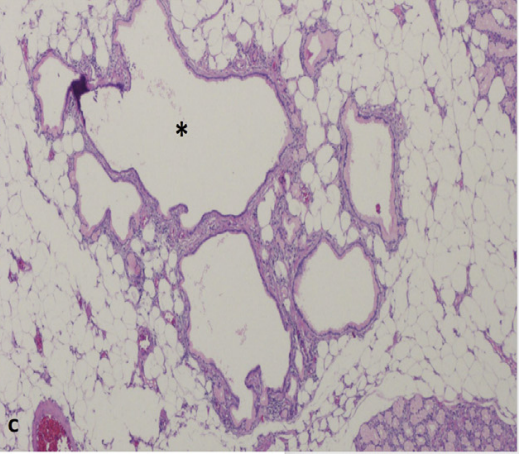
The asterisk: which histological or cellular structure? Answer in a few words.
cystically-dilated ducts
